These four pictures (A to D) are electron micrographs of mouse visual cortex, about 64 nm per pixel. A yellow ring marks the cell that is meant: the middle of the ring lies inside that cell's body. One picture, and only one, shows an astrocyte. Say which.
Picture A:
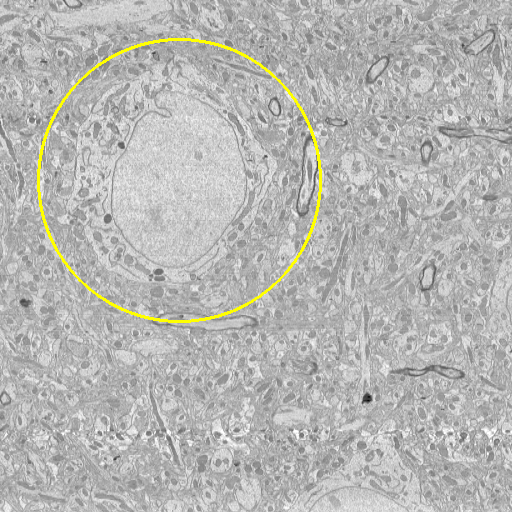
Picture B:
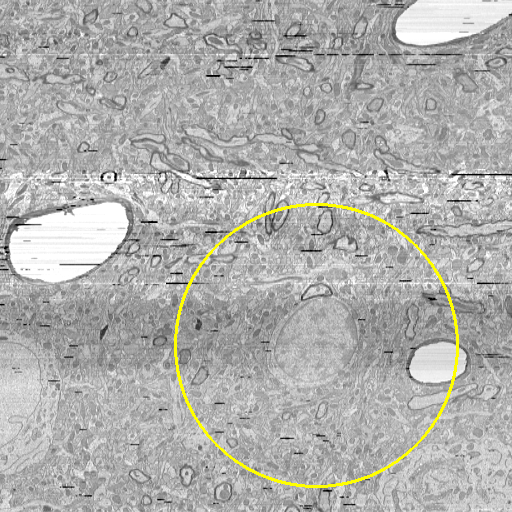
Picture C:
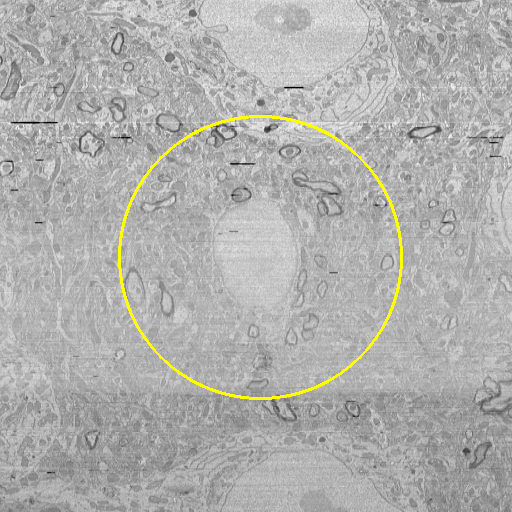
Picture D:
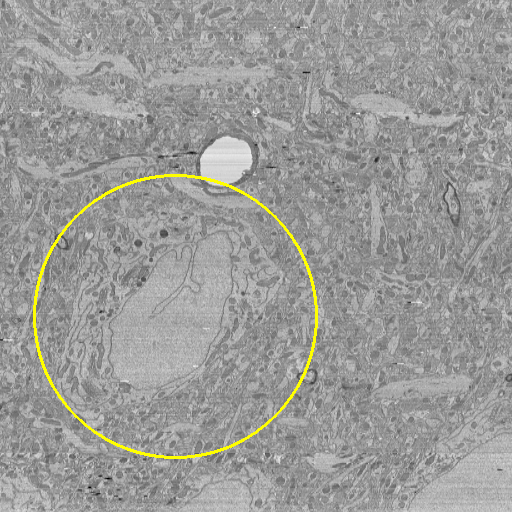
Picture C is the one that shows the astrocyte.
